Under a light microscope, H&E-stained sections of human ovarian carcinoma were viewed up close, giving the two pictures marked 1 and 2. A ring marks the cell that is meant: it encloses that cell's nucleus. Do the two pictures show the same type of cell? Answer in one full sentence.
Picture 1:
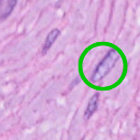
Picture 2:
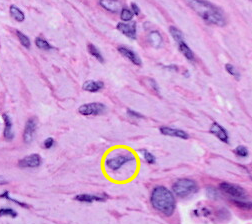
Yes, the two pictures both show fibroblasts.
